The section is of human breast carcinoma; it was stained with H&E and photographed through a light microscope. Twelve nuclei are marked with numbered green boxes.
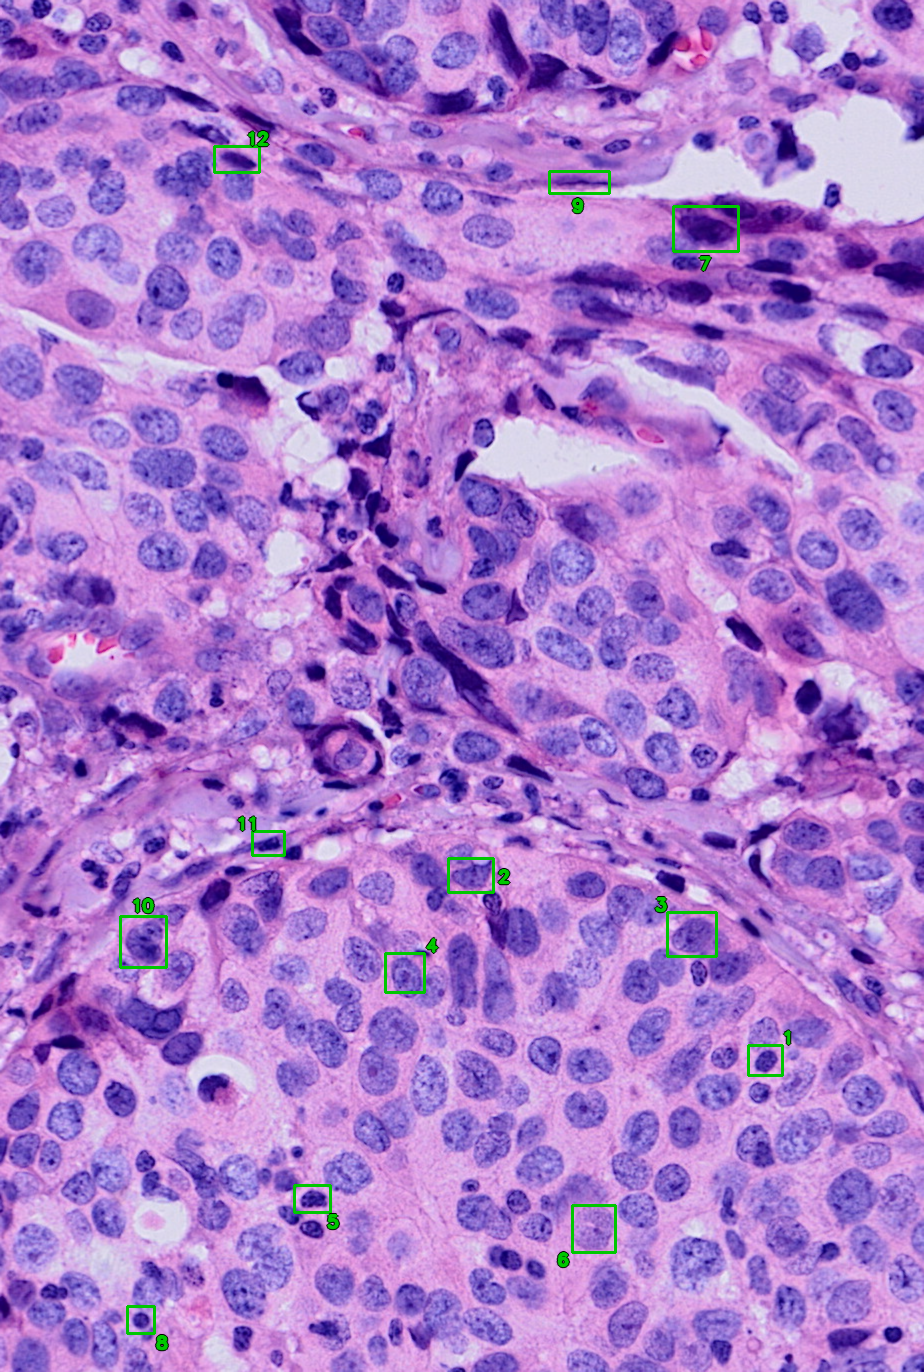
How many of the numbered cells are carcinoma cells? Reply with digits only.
7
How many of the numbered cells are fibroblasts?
1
